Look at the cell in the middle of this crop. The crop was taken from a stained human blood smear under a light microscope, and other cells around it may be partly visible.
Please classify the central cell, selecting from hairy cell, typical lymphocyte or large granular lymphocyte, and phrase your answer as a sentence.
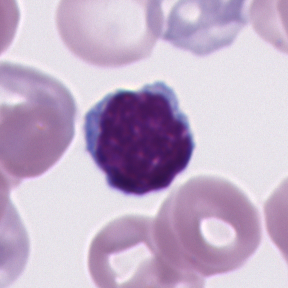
This crop has a typical lymphocyte at its centre.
